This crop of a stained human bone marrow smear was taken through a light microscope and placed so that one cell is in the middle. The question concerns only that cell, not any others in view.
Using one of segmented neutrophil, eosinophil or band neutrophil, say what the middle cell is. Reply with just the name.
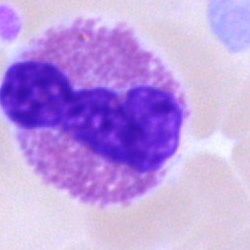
eosinophil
